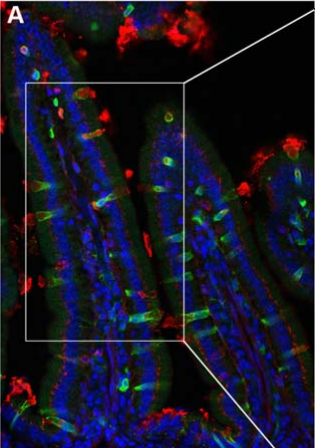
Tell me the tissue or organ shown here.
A: Small intestine.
